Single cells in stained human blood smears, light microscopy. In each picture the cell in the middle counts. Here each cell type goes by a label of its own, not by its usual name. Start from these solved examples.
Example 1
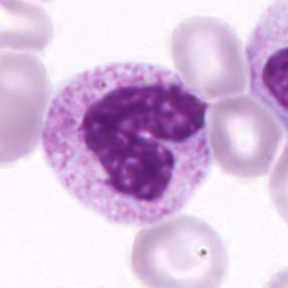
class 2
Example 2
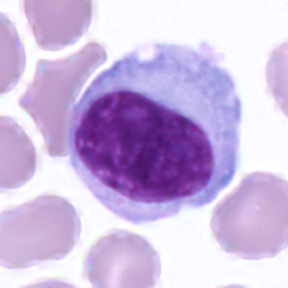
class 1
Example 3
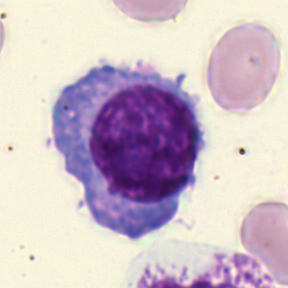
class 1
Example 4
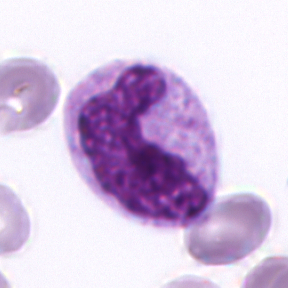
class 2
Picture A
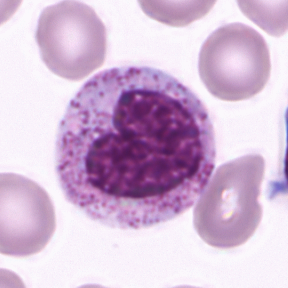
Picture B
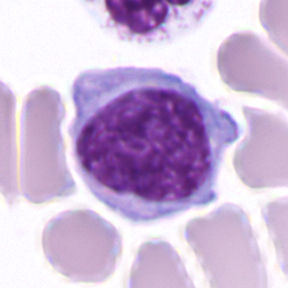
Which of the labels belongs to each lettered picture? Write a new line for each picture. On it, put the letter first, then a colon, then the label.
A: class 2
B: class 1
